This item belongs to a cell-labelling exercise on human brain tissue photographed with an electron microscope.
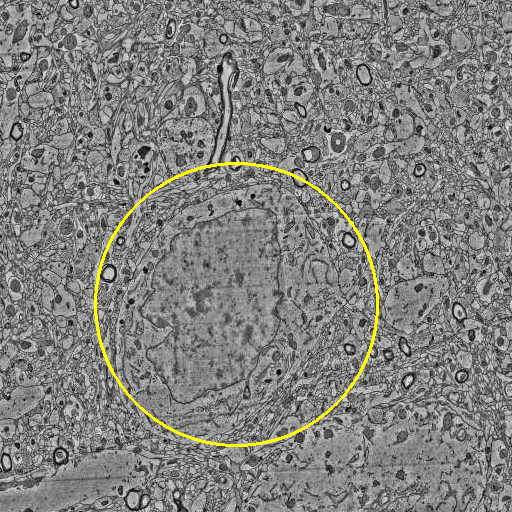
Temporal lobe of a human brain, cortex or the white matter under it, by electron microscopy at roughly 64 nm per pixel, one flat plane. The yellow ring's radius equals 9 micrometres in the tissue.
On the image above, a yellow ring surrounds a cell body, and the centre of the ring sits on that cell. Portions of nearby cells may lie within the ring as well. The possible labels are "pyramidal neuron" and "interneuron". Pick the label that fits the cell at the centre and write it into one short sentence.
This cell should be labelled as an interneuron.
